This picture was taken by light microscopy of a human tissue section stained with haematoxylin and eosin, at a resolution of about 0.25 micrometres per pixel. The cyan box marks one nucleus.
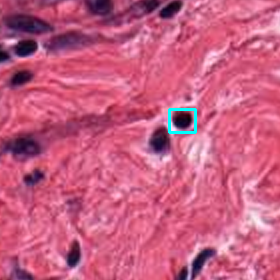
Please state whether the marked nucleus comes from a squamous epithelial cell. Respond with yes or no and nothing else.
no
